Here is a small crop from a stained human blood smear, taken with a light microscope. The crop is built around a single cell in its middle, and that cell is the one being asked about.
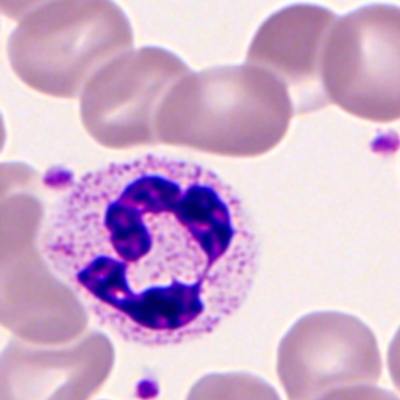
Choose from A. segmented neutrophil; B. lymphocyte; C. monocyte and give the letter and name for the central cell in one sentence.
Option A is correct, and the cell in the centre is a segmented neutrophil.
